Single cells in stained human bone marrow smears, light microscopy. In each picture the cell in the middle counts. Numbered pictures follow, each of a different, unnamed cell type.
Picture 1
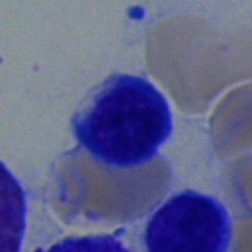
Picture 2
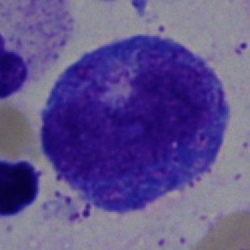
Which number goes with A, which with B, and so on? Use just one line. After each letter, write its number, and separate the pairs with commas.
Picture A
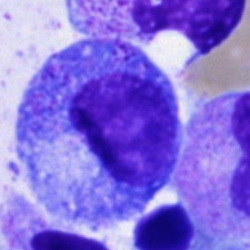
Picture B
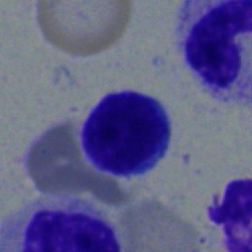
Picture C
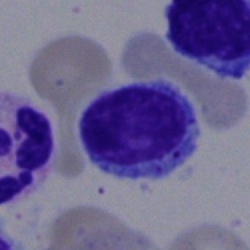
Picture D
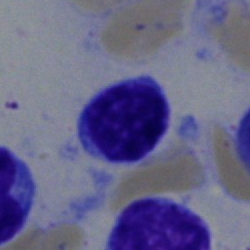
A 2, B 1, C 1, D 1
